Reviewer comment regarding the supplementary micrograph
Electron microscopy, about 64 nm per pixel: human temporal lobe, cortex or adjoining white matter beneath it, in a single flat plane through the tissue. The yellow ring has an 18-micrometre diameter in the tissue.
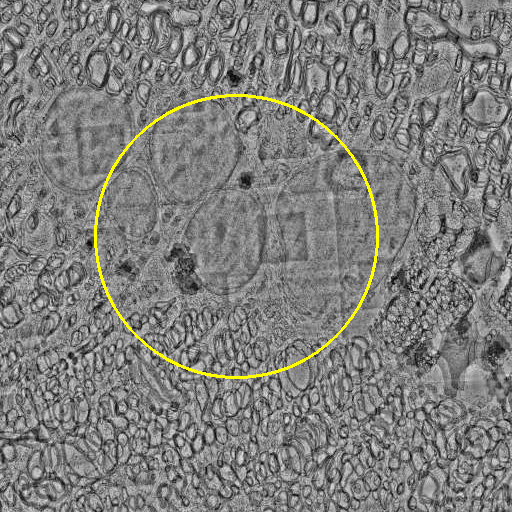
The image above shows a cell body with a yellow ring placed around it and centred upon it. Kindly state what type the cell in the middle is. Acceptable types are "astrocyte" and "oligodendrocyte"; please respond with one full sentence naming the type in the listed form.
In the image above, the cell on which the yellow ring is centred is an oligodendrocyte.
